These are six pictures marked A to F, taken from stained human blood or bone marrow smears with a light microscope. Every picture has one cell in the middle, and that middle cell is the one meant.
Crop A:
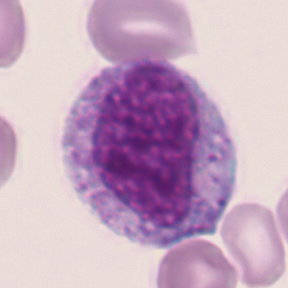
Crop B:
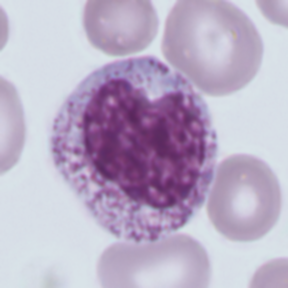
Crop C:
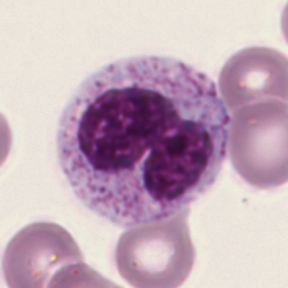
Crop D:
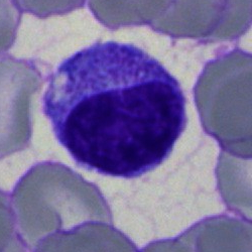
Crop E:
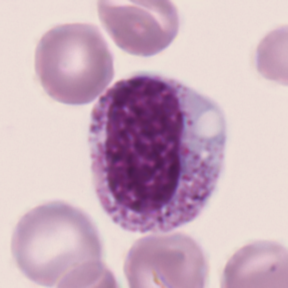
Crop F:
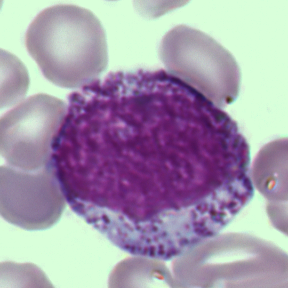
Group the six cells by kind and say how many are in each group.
myelocyte: 4
band neutrophil: 1
metamyelocyte: 1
